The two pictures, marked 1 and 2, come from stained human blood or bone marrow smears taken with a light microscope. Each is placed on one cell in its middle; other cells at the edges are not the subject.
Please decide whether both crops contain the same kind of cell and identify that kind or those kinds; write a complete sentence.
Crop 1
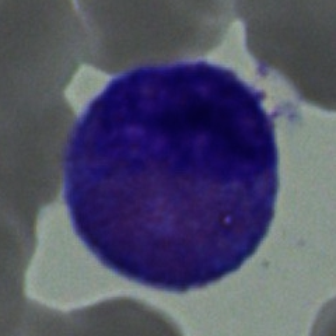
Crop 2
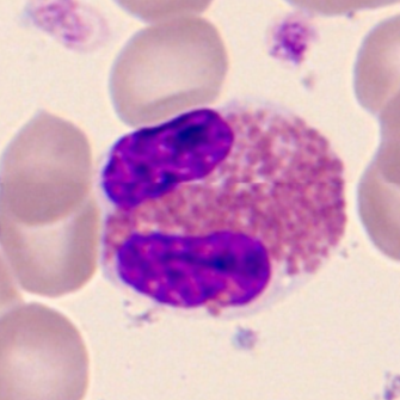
Yes, both crops show eosinophils, with no exception.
